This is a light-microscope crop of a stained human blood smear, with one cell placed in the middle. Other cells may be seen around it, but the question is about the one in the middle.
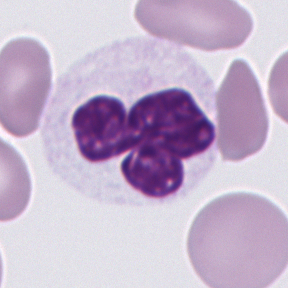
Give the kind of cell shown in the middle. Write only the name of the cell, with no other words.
segmented neutrophil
